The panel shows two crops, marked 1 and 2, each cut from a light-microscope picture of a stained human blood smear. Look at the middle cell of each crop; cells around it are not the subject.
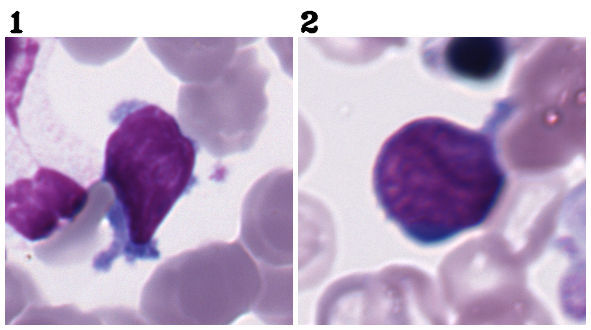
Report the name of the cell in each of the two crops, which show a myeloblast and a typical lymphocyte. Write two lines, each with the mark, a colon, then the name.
1: typical lymphocyte
2: myeloblast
